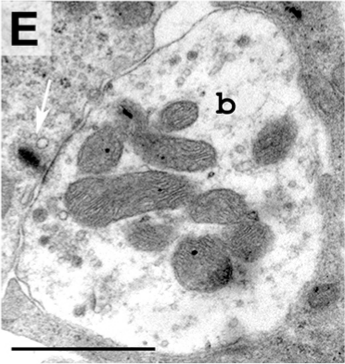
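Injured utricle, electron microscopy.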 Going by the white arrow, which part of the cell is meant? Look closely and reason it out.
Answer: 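A small dense body beside the membrane where the nerve ending touches the cell. Small clear vesicles lie around the dense body. On this evidence: ribbons.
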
